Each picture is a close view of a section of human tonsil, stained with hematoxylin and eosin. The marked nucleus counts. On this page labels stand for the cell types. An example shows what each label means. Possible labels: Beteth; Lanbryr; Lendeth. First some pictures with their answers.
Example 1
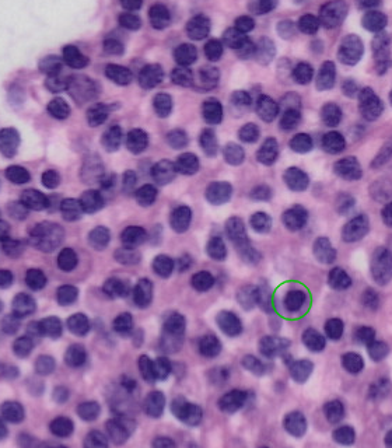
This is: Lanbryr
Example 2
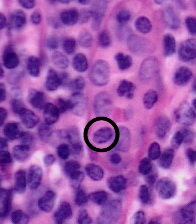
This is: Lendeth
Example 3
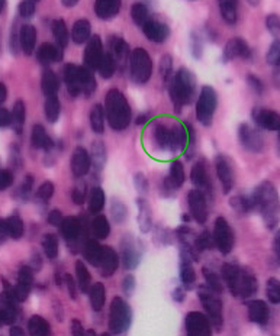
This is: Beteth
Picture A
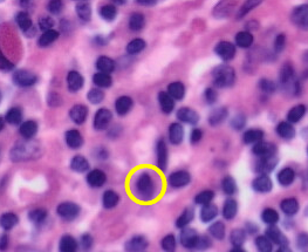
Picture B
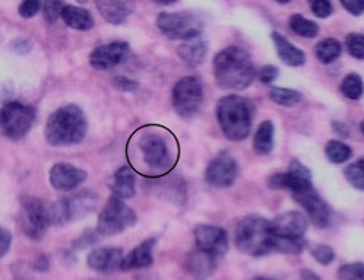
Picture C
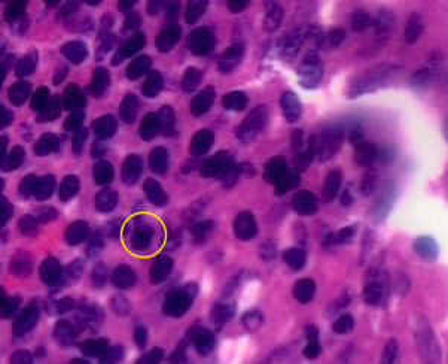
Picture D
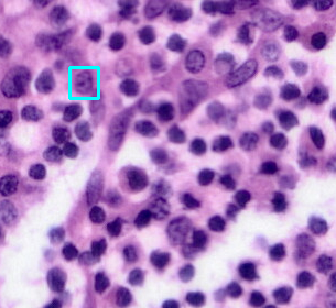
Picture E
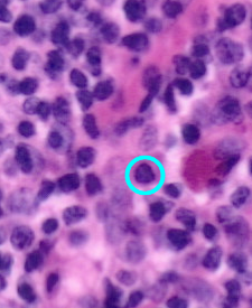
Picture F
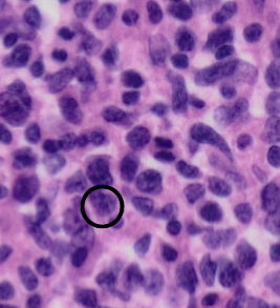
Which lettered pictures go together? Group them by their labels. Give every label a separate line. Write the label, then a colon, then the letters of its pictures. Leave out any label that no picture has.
Beteth: B, F
Lanbryr: C, D, E
Lendeth: A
